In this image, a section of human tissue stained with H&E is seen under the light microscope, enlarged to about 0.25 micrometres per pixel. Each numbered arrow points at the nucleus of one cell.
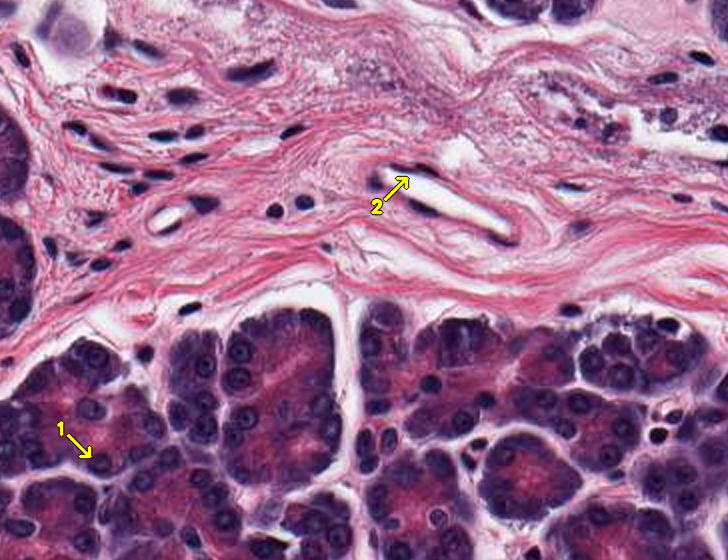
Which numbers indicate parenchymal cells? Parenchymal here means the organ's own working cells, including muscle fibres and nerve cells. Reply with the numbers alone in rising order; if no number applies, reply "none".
1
